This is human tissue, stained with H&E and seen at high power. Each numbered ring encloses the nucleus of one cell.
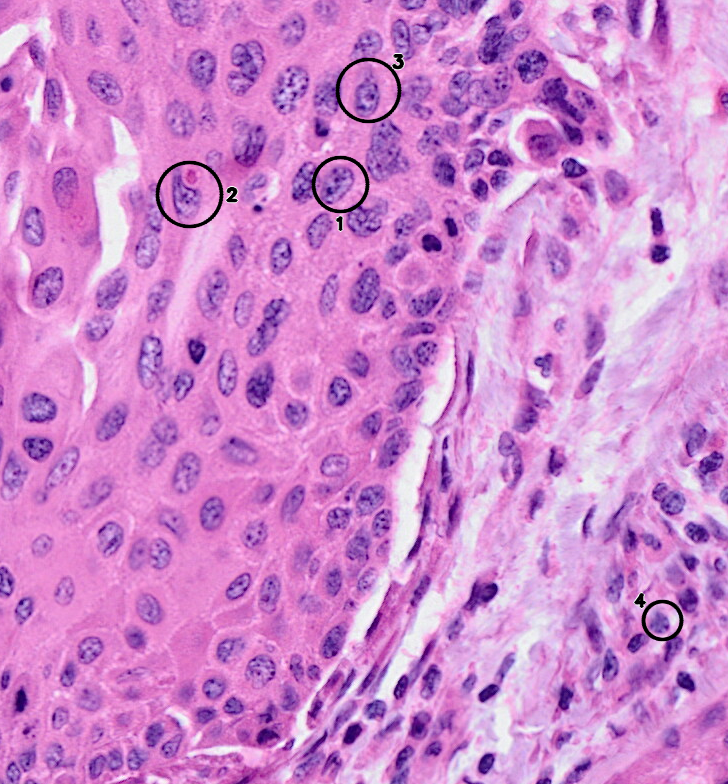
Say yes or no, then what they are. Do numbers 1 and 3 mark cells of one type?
Yes, both are squamous carcinoma cells.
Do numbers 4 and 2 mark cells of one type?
No, cell 4 is a lymphocyte and cell 2 is a squamous carcinoma cell.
